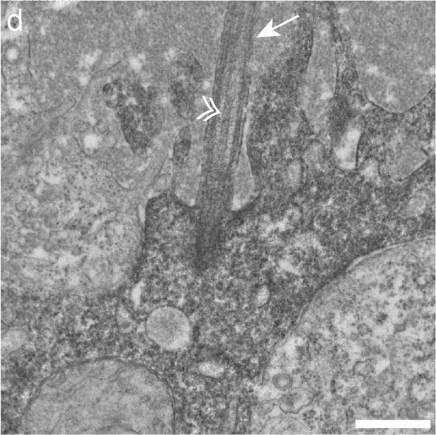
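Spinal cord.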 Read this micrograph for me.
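This shows the apical extension of a neuron that contacts the central canal, with a cilium in it. A long straight cilium rises from a dense basal region in the granular cytoplasm toward the top of the field. Longitudinal microtubules run along its axoneme as fine parallel lines. Finger-like projections of the extension lie beside it, and pale neighbouring cell profiles with rounded membranes border the dark neuronal cytoplasm below.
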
